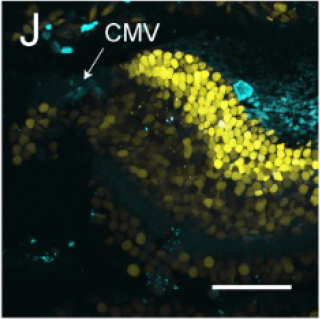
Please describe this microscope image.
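The layered tissue narrows toward an edge at the upper left, where a few cells show cyan fluorescence. Scattered cyan cells also lie along the upper border of the bright band and outside the tissue.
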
